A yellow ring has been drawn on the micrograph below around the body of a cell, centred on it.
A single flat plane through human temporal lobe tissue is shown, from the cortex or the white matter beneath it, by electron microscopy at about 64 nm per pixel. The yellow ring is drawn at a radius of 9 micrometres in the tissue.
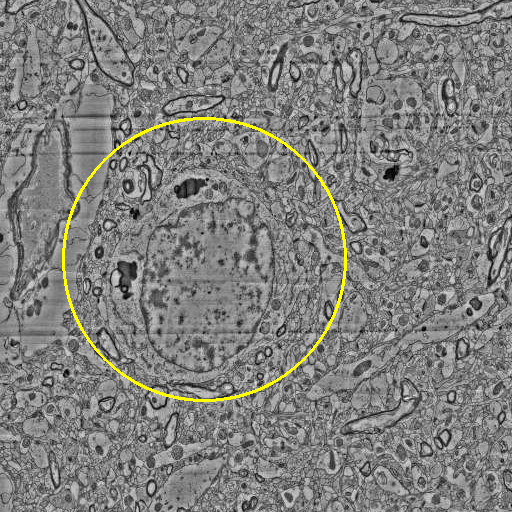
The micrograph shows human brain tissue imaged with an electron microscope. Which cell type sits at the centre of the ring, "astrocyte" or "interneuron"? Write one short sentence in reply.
The cell sitting at the centre of the ring is an interneuron.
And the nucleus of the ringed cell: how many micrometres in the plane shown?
In this plane, the nucleus is roughly 12 by 9 micrometres.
